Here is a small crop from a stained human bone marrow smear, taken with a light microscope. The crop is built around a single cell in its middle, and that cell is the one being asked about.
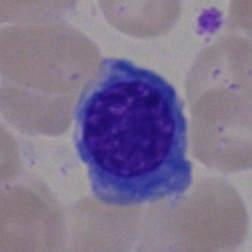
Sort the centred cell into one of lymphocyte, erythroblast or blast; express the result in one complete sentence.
In this crop, the cell at the very middle is an erythroblast.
